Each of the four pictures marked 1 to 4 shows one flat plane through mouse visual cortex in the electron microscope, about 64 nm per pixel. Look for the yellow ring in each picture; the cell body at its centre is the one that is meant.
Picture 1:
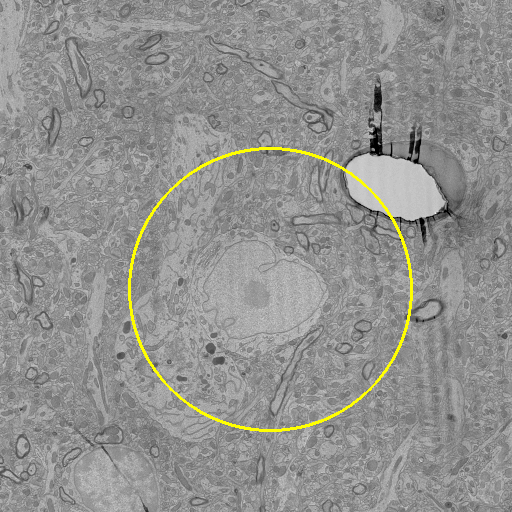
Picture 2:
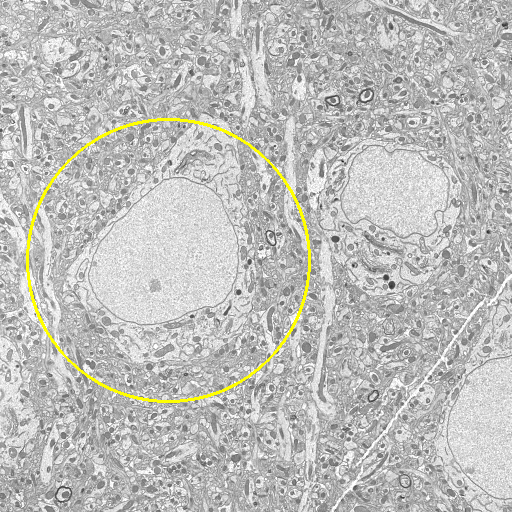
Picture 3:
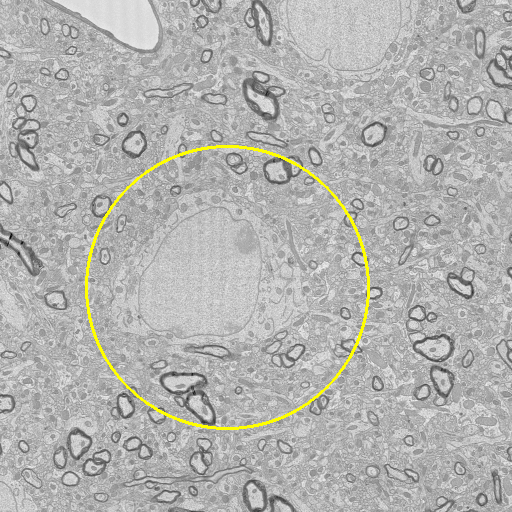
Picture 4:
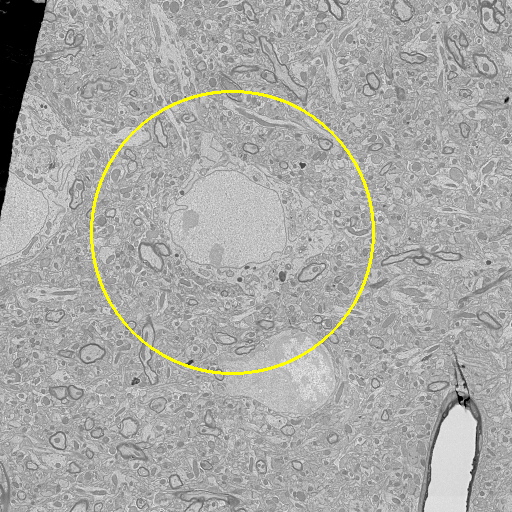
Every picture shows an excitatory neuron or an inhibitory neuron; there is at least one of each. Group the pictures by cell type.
Pictures 2, 3 and 4 show excitatory neurons, and picture 1 shows an inhibitory neuron.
